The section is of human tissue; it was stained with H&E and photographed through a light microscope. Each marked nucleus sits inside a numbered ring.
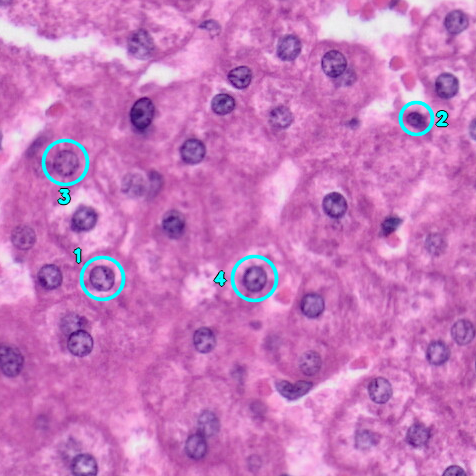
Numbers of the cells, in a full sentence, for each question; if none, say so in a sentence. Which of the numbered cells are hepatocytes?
The cells numbered 1, 3 and 4 are typed as hepatocytes.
